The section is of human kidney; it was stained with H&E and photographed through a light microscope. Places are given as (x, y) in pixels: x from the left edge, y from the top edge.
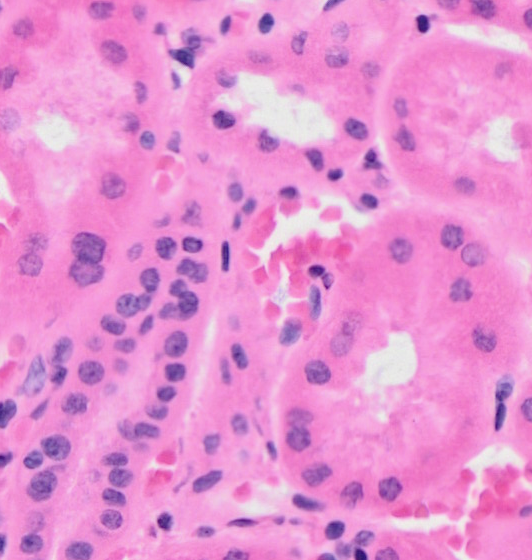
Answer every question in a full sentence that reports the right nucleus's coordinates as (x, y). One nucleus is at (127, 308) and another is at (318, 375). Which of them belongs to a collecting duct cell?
Of the two nuclei, it is the one at (127, 308) that lies within a collecting duct cell.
